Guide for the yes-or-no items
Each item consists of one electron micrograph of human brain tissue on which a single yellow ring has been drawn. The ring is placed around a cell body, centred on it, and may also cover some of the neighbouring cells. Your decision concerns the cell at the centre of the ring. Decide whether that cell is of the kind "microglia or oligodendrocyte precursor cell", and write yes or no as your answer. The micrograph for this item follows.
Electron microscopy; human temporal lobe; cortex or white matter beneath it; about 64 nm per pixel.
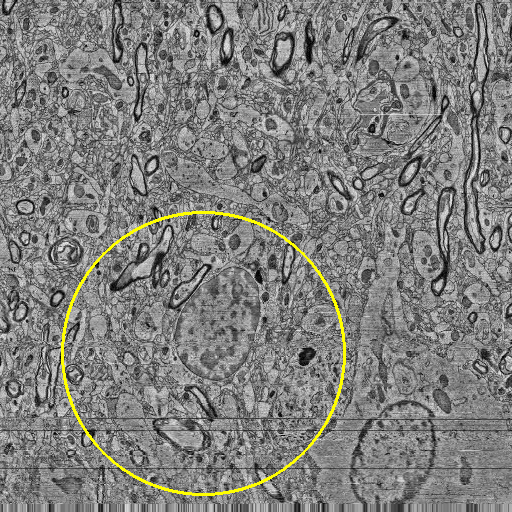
yes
